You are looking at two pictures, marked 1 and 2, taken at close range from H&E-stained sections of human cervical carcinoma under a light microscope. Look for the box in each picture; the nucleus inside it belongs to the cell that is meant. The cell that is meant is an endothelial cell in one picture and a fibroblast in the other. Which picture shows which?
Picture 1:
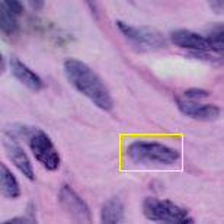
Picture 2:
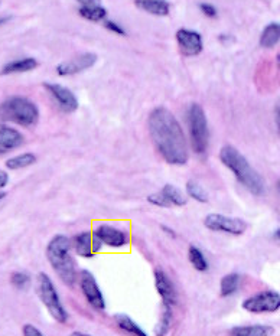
1: fibroblast
2: endothelial cell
